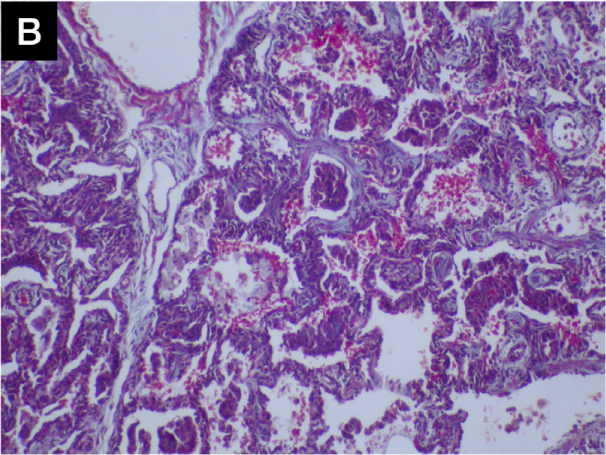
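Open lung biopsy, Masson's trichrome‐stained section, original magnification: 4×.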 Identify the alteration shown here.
thickening of the alveolar septa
